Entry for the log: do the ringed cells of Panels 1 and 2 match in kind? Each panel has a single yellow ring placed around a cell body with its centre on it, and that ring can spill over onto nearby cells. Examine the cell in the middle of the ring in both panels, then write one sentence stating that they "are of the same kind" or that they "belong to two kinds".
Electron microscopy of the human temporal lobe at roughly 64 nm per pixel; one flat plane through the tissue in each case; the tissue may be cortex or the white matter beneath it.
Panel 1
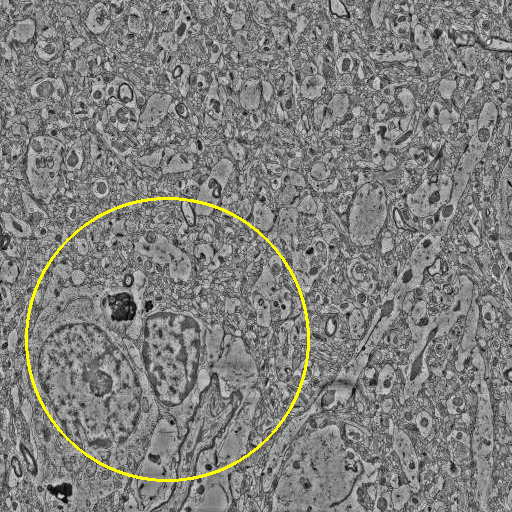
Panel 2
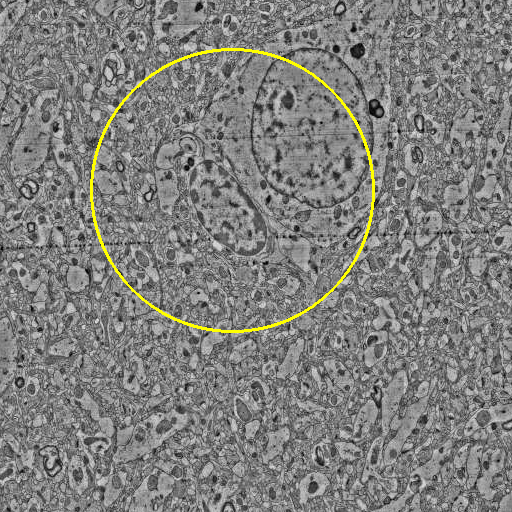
The centre cell of Panel 1's ring and that of Panel 2's ring are of the same kind.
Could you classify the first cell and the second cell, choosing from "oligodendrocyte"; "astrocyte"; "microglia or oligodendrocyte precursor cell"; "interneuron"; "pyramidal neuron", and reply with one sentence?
In the first picture and in the second, the ring is centred on a microglial cell or oligodendrocyte precursor cell.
